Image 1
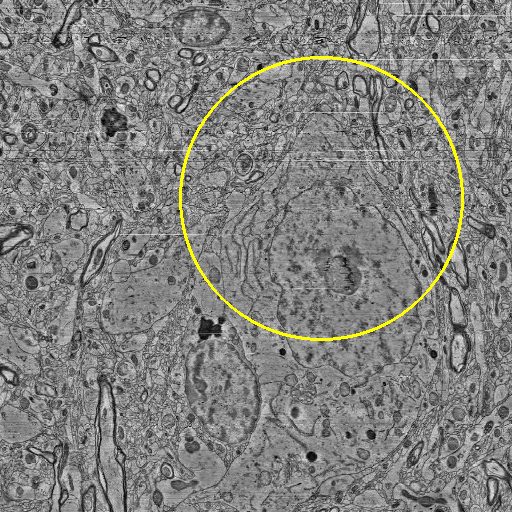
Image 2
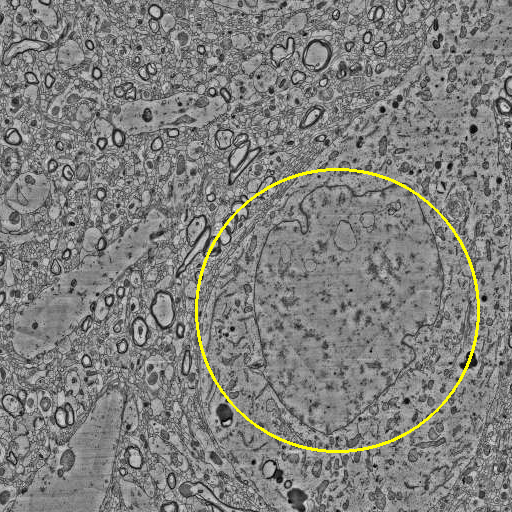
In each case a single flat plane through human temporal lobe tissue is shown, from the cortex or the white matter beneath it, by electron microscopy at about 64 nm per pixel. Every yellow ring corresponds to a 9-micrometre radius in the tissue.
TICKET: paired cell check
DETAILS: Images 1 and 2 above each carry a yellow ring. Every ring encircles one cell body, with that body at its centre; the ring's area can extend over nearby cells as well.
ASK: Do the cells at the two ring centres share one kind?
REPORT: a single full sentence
Yes, the ring-centre cells of Images 1 and 2 belong to a single kind.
